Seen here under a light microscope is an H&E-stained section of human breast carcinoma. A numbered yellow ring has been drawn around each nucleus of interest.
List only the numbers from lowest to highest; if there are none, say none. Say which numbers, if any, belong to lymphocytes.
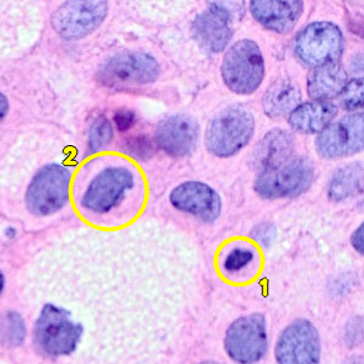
1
